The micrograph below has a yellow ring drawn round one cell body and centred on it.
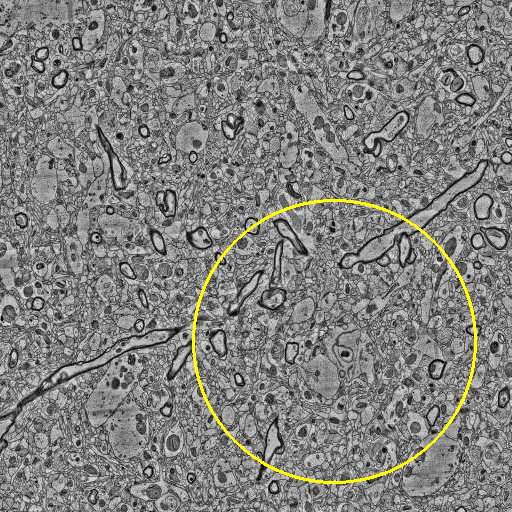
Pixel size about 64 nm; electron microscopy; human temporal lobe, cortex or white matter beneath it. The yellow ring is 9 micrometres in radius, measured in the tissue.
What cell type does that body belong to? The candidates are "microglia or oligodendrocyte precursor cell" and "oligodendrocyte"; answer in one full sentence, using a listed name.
This is a microglial cell or oligodendrocyte precursor cell, the cell whose body lies at the centre of the ring.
